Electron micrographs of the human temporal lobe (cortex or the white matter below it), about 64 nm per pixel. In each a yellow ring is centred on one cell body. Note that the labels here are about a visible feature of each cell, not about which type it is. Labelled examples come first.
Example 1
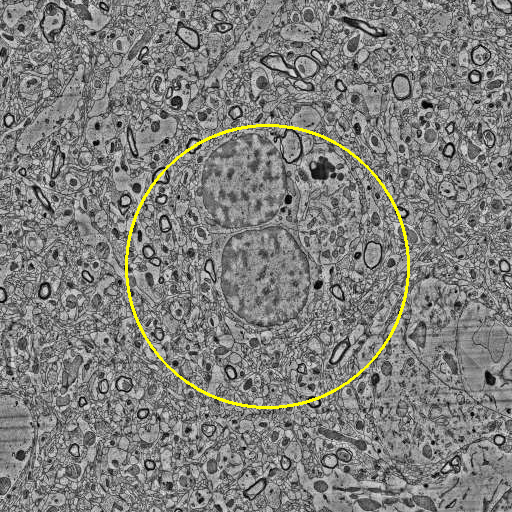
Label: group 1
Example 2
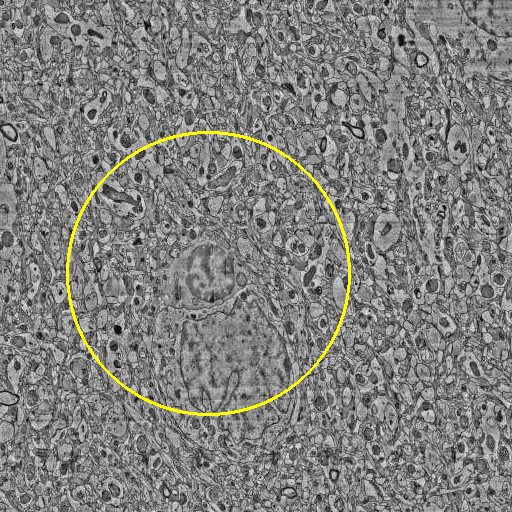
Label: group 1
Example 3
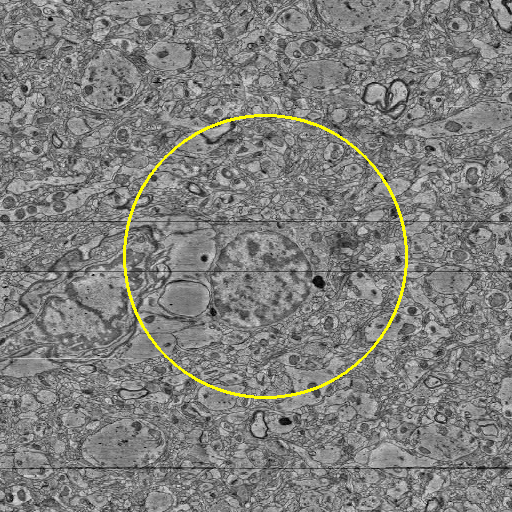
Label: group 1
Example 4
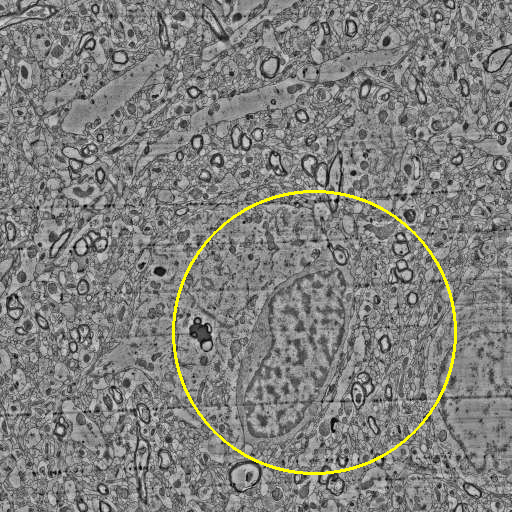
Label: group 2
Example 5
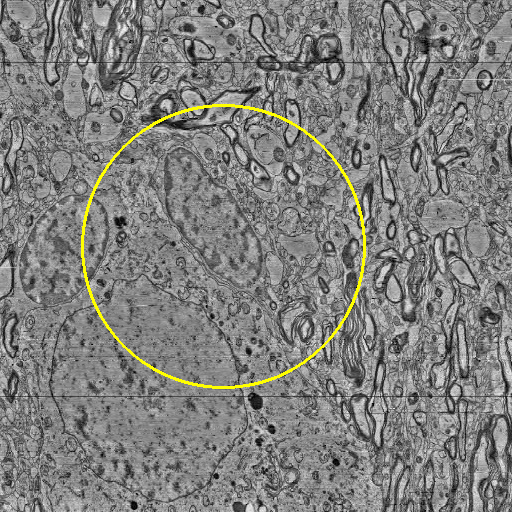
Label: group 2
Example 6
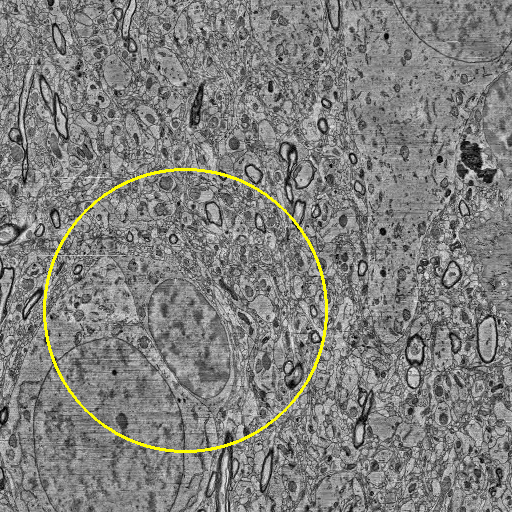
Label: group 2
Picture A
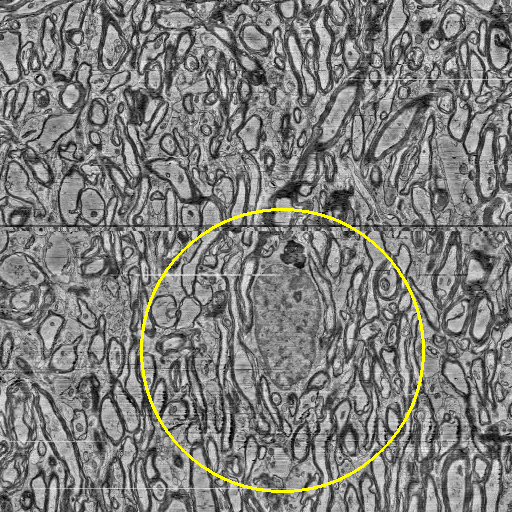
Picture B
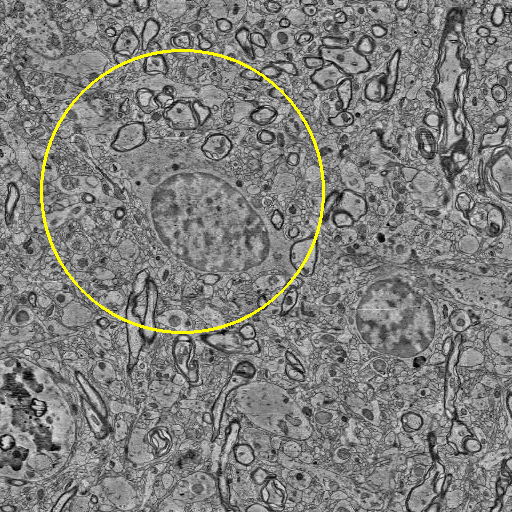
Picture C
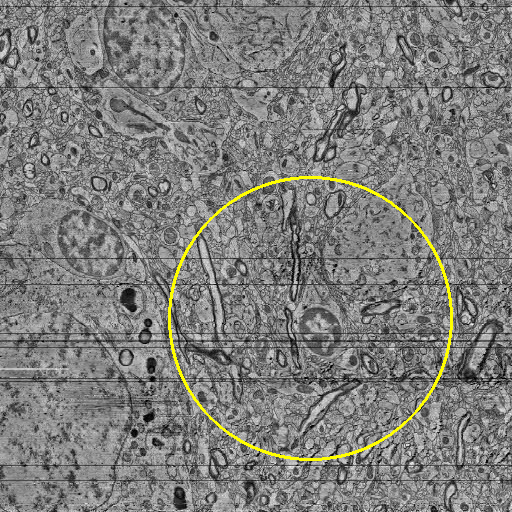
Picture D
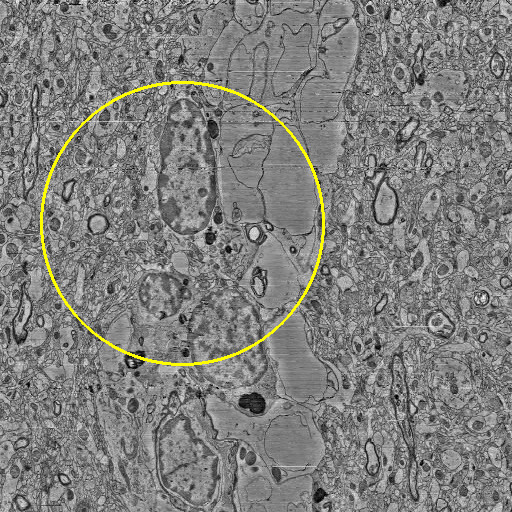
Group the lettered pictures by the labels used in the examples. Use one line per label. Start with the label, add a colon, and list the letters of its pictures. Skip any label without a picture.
group 1: C
group 2: A, B, D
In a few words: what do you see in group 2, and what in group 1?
group 2, clearly elongated nuclei; group 1, round or nearly round nuclei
